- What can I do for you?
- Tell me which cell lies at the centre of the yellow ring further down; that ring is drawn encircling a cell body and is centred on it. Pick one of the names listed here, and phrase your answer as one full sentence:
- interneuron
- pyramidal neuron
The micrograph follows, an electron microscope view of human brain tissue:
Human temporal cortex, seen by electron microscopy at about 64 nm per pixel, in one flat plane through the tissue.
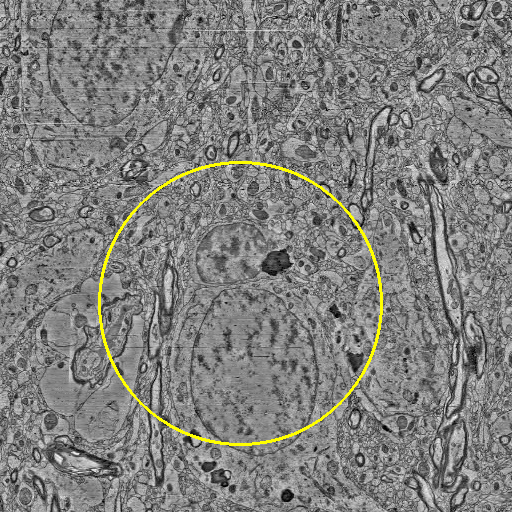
The cell whose body lies at the centre of the yellow ring is a pyramidal neuron.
